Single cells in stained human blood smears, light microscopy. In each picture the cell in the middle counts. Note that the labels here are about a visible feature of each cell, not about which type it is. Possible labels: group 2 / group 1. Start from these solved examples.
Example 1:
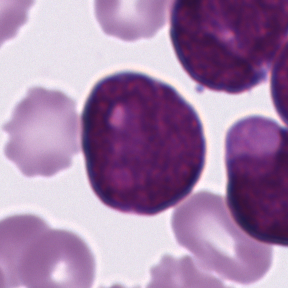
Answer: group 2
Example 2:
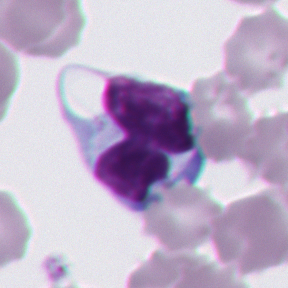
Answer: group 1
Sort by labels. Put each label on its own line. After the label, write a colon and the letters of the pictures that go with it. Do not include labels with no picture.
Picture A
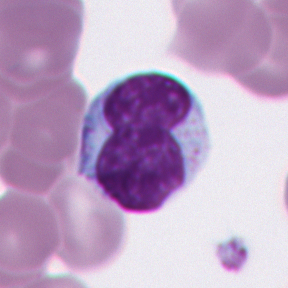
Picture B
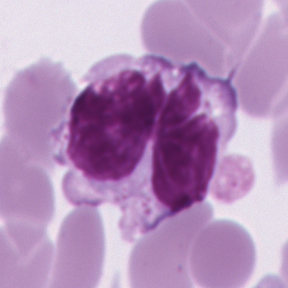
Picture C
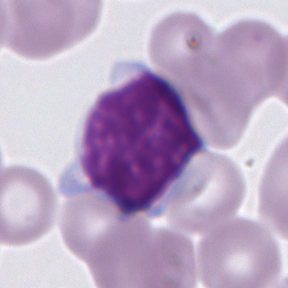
group 2: C
group 1: A, B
